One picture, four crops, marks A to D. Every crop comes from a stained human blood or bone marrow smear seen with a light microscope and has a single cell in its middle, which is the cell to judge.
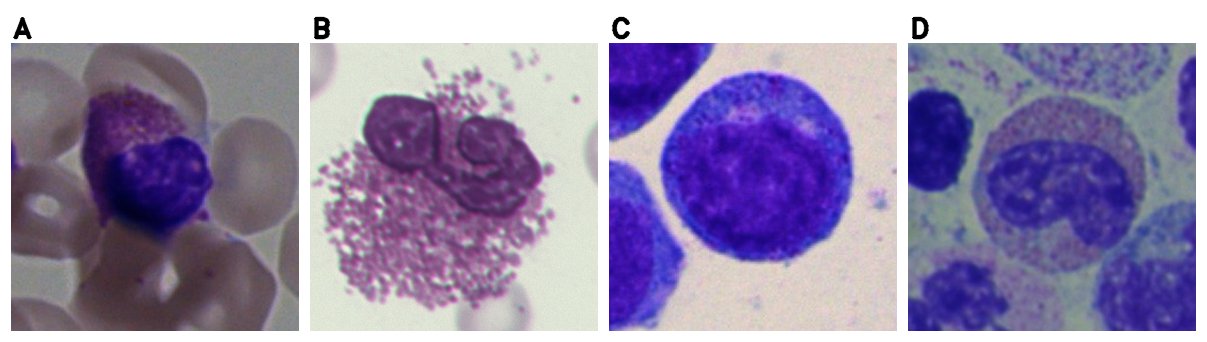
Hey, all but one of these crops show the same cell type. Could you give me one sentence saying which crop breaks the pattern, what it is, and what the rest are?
The different crop is C; it is a promyelocyte, and the others all show eosinophils.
